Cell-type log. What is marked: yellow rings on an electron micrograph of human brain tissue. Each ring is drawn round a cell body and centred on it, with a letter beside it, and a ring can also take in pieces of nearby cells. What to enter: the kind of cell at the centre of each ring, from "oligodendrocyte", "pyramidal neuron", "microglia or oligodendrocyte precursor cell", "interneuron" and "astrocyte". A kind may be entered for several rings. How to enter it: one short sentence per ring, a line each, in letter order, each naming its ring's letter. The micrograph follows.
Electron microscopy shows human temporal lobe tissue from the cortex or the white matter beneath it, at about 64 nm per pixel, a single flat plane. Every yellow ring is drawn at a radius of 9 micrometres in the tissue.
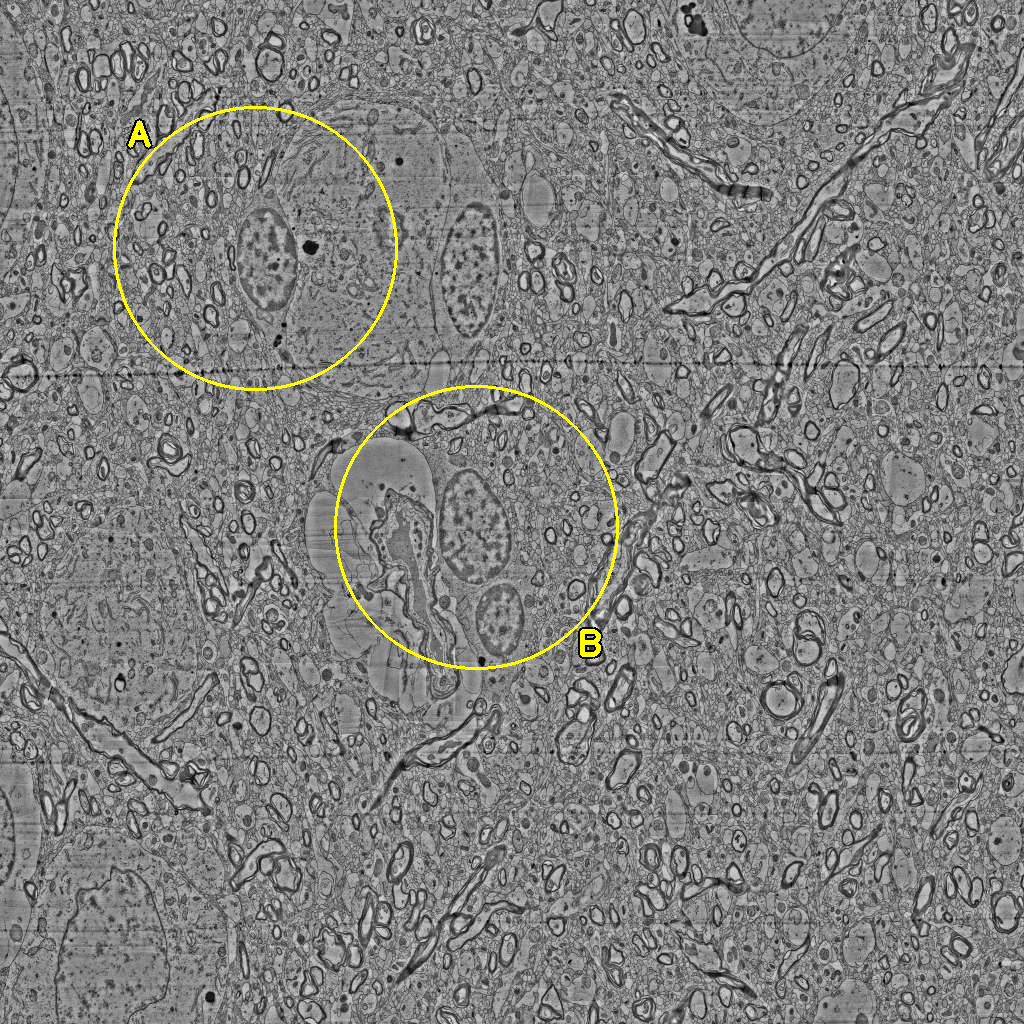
For ring A, the centre cell is an oligodendrocyte.
For ring B, the centre cell is an oligodendrocyte.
